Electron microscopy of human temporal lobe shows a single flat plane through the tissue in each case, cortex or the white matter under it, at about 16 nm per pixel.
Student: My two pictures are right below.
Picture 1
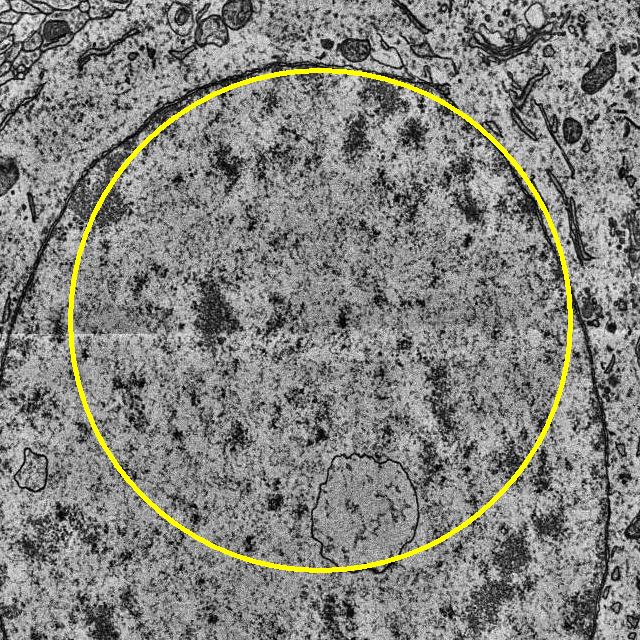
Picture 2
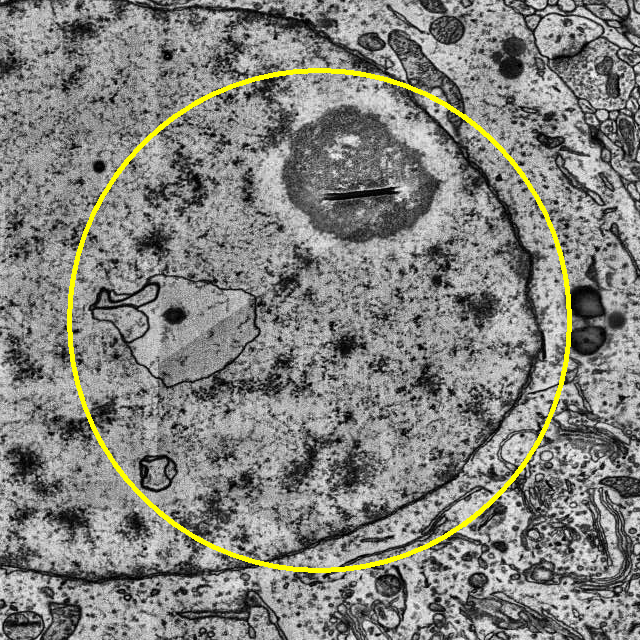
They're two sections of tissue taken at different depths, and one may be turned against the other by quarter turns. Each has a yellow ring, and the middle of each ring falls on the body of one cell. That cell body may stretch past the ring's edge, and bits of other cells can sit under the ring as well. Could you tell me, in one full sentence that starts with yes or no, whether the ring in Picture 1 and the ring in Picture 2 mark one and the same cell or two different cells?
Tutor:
Yes, the same cell appears within both yellow rings.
